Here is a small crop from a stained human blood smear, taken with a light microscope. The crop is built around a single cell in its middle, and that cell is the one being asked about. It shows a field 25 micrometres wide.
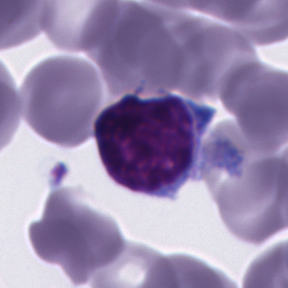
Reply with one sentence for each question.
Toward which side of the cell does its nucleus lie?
The nucleus sits off-centre, toward the left.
